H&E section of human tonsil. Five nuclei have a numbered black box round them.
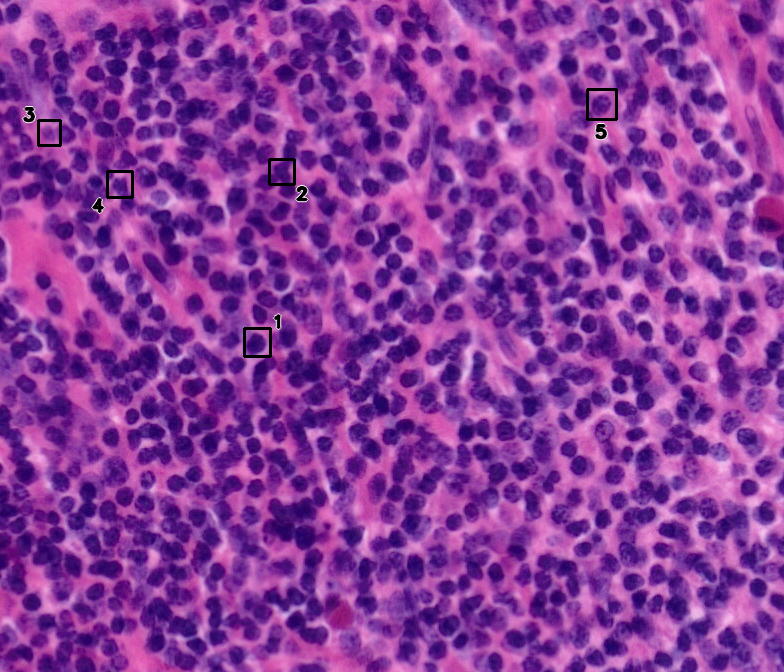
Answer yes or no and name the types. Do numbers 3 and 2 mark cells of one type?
No; cell 3 is an endothelial cell, whereas cell 2 is a small lymphocyte.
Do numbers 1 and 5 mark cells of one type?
No, the cell labelled 1 is a small lymphocyte; the cell labelled 5 is a plasma cell.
